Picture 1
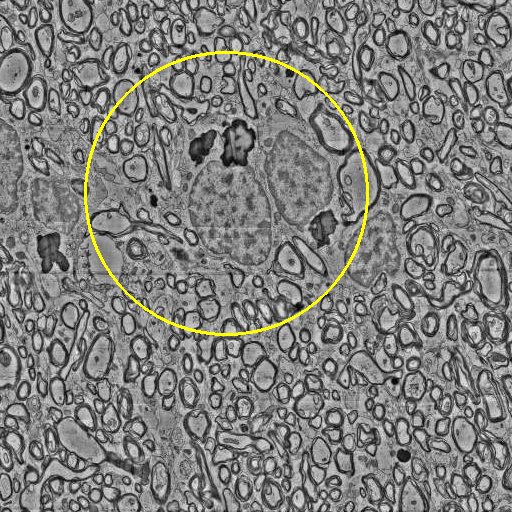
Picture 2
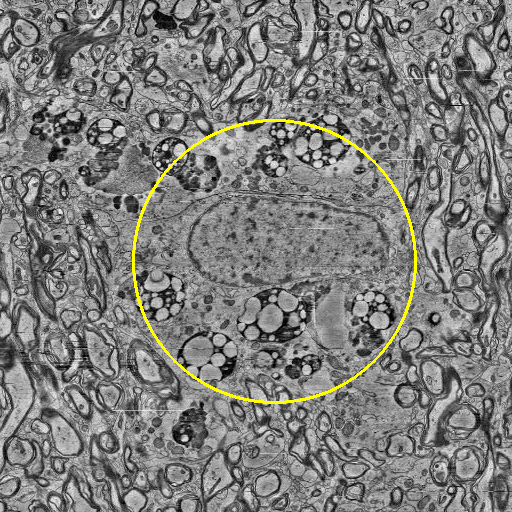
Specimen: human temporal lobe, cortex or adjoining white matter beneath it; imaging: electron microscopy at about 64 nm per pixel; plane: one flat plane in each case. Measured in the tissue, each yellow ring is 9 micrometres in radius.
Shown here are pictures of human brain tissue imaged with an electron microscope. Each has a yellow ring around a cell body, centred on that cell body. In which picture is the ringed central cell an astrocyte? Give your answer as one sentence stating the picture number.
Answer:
My answer is picture 2, where the ringed cell at the centre is the one sought.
